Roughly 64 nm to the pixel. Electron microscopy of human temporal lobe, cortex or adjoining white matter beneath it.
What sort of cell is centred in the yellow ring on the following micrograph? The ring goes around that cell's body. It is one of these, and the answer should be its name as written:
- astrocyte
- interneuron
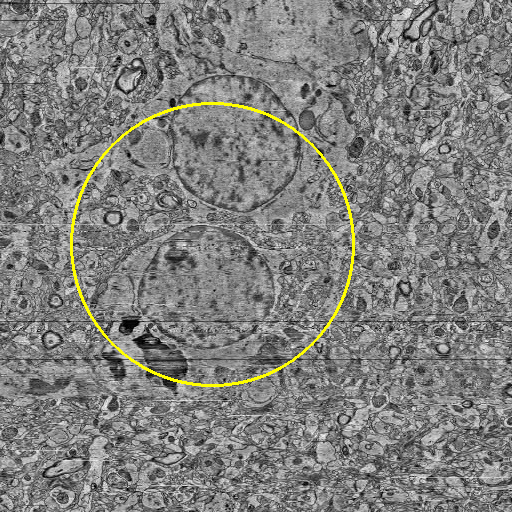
astrocyte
